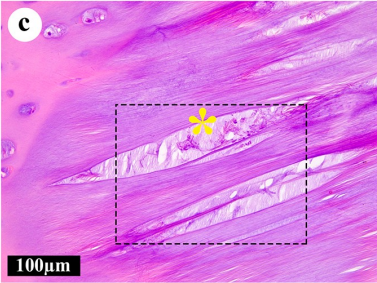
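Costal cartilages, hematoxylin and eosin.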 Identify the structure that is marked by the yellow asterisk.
Lens-shaped cavities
